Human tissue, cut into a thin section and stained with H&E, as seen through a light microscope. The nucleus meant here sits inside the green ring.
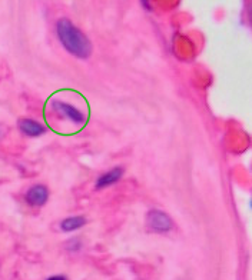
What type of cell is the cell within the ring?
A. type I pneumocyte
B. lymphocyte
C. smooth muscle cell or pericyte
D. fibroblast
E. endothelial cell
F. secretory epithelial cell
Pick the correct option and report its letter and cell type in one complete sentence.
Option C properly identifies the cell within the ring as a smooth muscle cell or pericyte.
